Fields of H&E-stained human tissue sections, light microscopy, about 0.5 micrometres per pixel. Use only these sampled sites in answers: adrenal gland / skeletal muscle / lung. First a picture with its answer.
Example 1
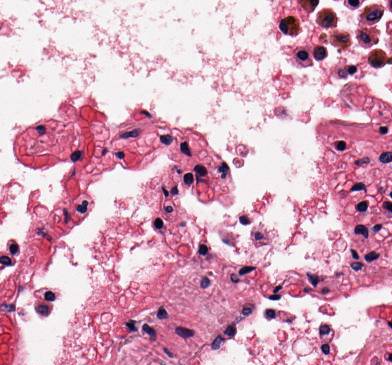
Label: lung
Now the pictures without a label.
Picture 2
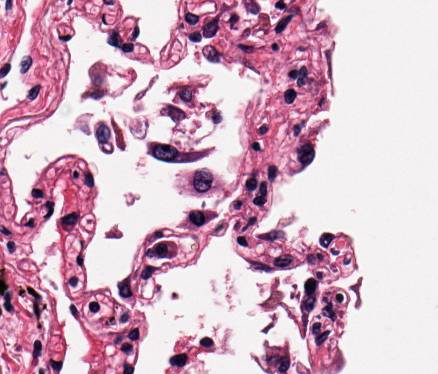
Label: lung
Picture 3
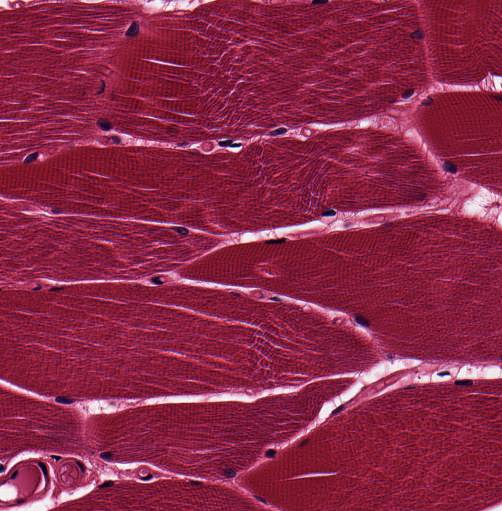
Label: skeletal muscle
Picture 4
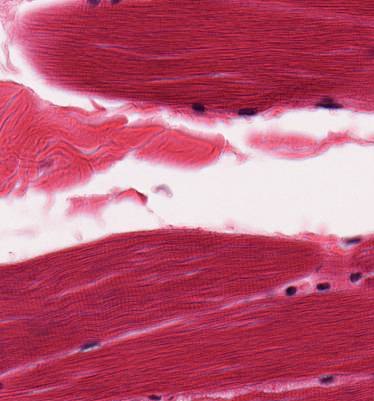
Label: skeletal muscle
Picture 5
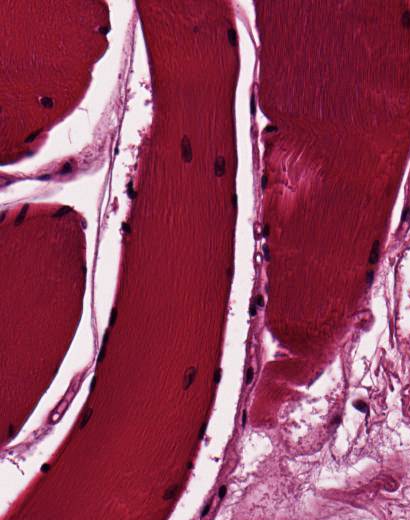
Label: skeletal muscle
